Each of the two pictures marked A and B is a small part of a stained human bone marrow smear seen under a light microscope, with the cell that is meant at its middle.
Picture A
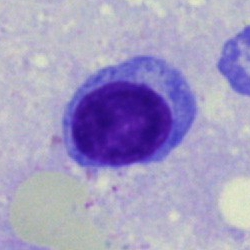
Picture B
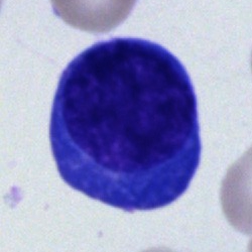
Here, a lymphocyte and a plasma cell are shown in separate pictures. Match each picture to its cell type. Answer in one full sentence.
Picture A is of a lymphocyte, and picture B is of a plasma cell.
